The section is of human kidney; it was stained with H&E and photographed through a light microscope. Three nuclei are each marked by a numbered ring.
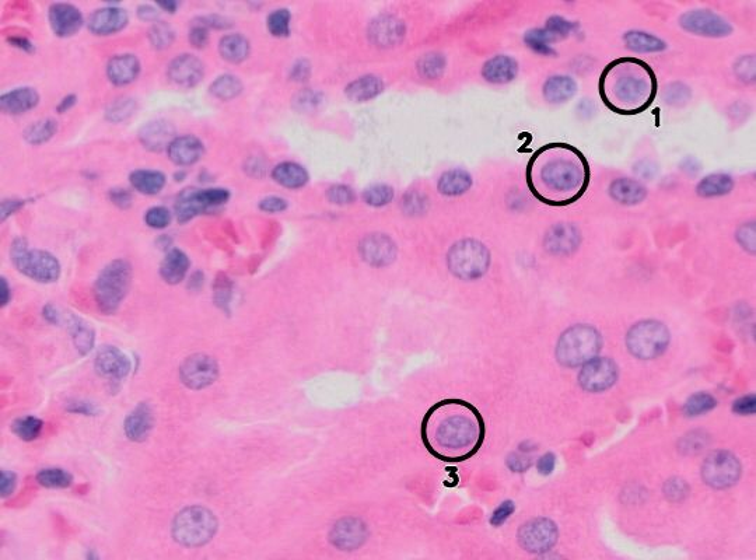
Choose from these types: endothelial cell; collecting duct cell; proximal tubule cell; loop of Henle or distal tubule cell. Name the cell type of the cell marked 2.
loop of Henle or distal tubule cell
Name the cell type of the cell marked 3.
proximal tubule cell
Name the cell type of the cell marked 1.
loop of Henle or distal tubule cell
